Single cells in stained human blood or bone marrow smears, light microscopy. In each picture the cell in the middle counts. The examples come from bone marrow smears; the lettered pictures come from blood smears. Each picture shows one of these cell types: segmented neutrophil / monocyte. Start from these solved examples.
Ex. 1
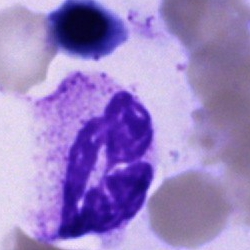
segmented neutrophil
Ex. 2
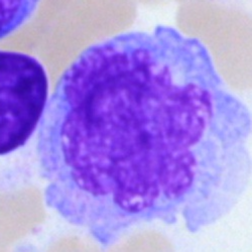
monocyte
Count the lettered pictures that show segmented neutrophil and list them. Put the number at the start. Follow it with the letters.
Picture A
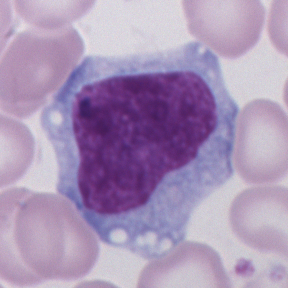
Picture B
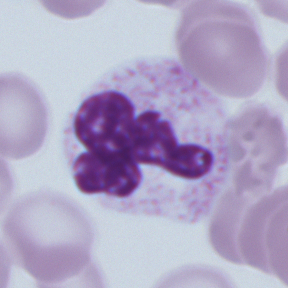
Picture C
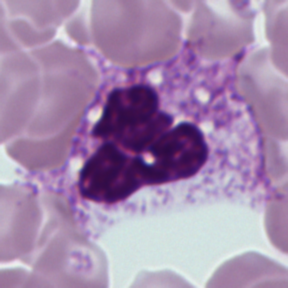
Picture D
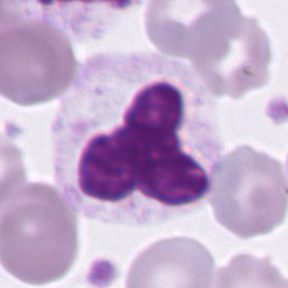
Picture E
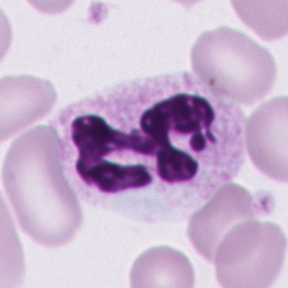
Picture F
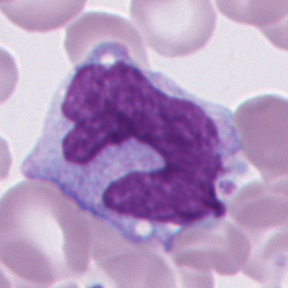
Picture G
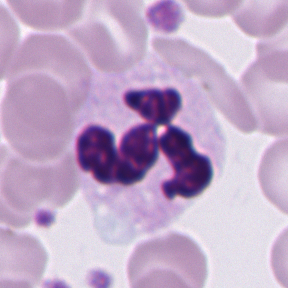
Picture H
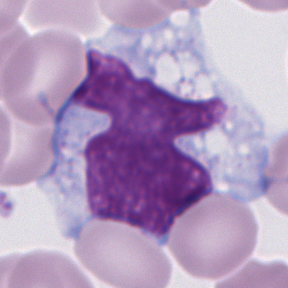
5: B, C, D, E, G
